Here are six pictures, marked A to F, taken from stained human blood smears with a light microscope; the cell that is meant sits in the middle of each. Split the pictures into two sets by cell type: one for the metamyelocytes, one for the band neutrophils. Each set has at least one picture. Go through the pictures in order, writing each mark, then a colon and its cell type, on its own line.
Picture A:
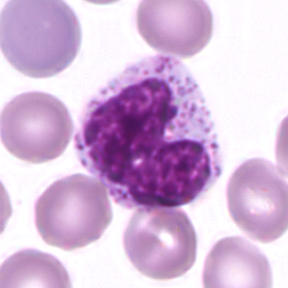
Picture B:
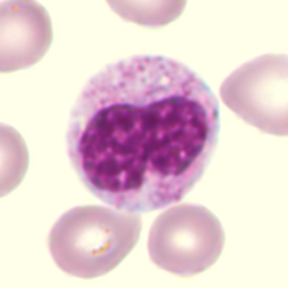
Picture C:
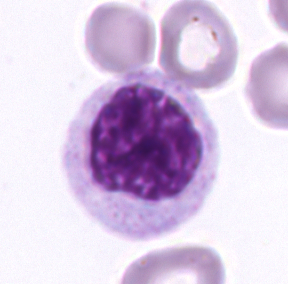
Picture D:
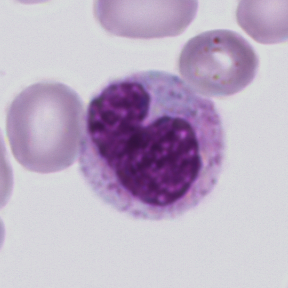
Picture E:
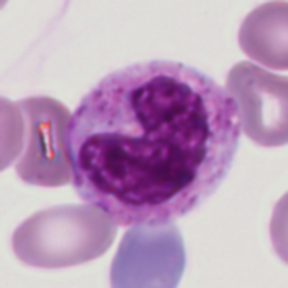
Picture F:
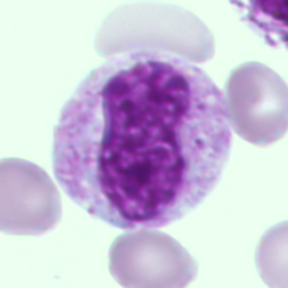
A: band neutrophil
B: band neutrophil
C: metamyelocyte
D: band neutrophil
E: metamyelocyte
F: metamyelocyte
